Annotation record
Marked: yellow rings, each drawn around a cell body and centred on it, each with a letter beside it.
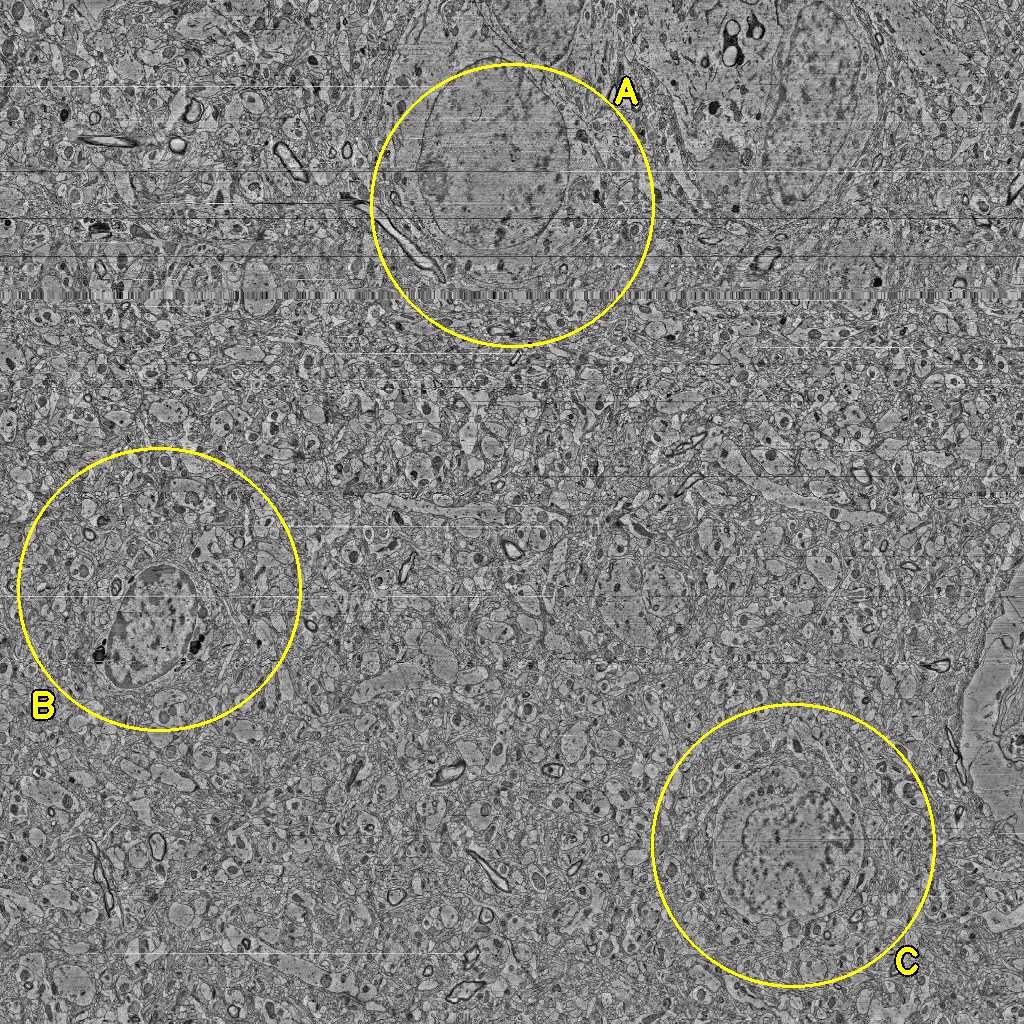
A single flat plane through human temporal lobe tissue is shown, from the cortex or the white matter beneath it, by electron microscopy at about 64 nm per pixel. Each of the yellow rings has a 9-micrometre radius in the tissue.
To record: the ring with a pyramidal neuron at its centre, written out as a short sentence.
The ring centred on it is ring A.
